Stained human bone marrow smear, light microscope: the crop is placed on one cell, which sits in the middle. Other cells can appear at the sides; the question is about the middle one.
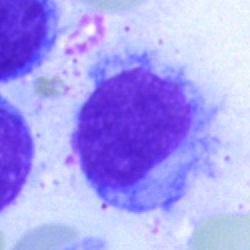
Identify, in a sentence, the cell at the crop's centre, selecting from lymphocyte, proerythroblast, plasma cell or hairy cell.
The cell of interest, in the center, is a hairy cell.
